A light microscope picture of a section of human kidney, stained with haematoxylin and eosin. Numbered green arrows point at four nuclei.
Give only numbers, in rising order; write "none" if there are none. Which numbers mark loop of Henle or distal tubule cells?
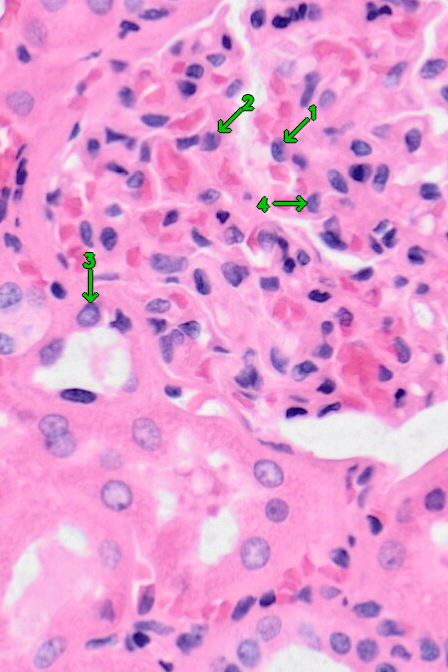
3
